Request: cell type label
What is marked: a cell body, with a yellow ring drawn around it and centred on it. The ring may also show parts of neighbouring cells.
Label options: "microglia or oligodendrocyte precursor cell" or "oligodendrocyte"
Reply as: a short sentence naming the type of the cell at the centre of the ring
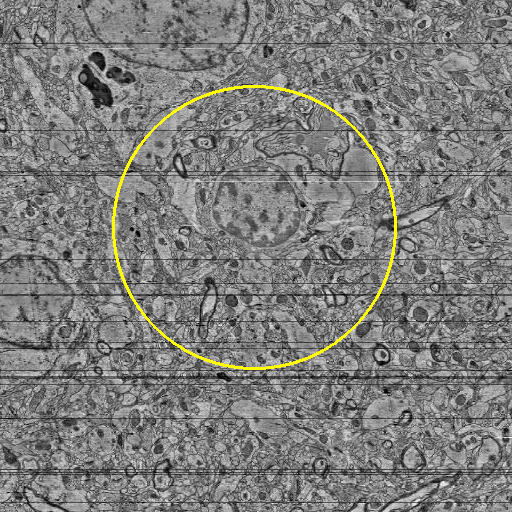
The marked cell body is that of an oligodendrocyte.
